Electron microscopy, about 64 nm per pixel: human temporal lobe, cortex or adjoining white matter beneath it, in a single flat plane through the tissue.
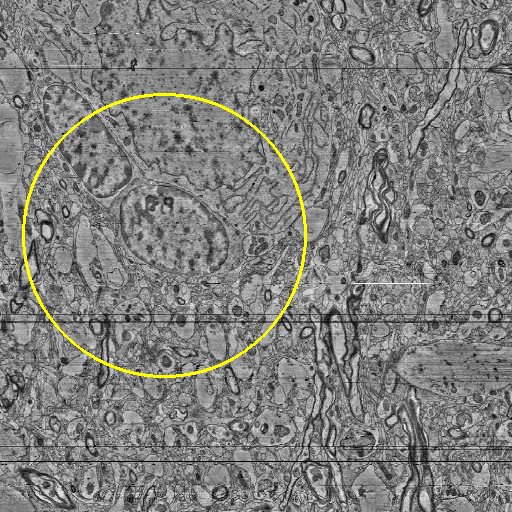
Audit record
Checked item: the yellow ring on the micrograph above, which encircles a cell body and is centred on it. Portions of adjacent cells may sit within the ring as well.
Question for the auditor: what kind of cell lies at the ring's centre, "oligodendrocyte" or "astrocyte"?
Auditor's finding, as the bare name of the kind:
oligodendrocyte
